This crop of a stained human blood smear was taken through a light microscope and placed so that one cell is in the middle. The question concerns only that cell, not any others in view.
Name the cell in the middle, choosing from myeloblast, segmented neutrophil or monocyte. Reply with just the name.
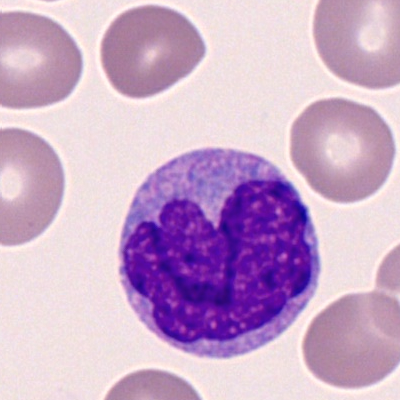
monocyte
